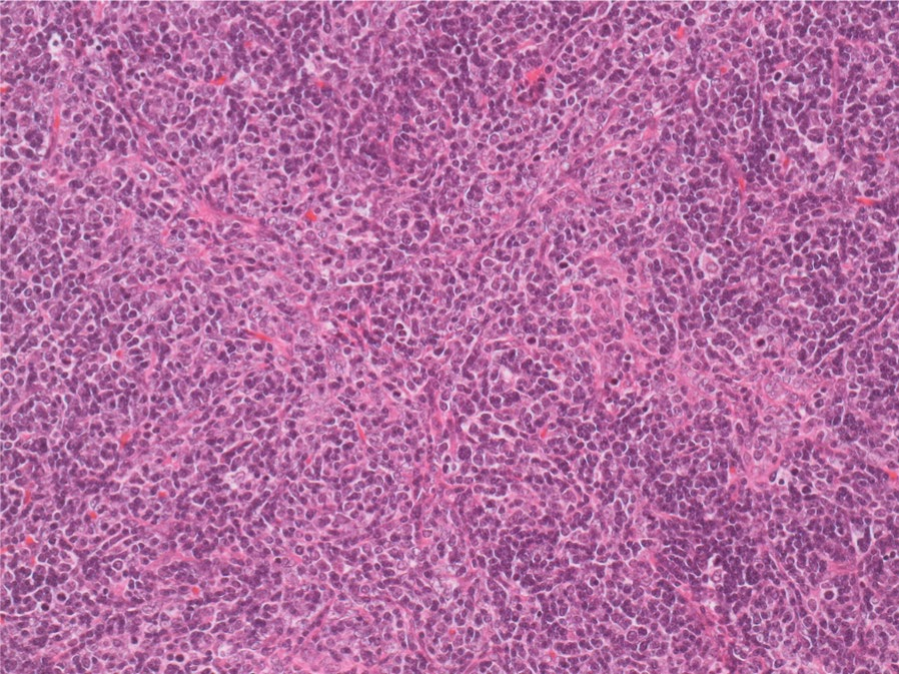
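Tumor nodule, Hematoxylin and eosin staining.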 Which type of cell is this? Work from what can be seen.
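Sheets of densely packed small cells with round dark nuclei and scant cytoplasm. These small dark cells make up most of the field. On this evidence: lymphocytes.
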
